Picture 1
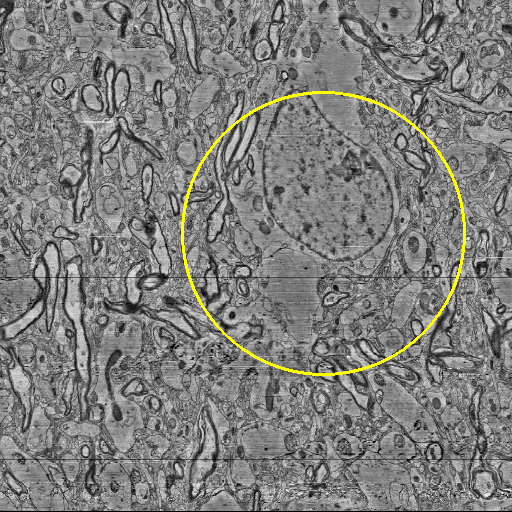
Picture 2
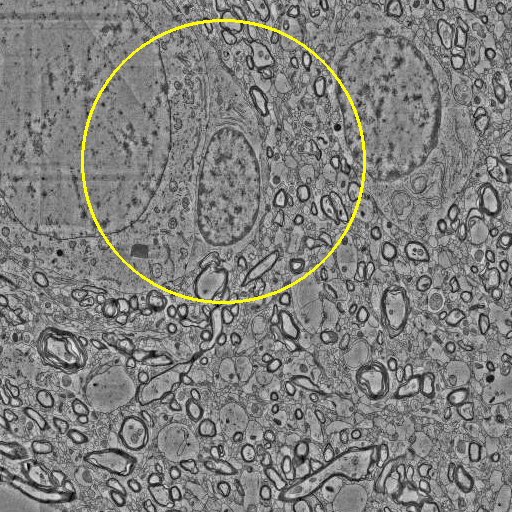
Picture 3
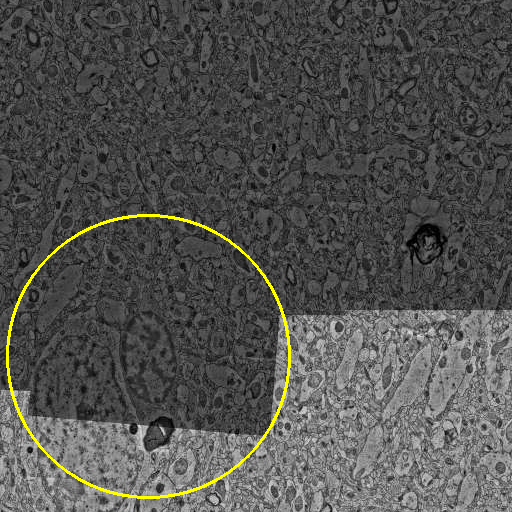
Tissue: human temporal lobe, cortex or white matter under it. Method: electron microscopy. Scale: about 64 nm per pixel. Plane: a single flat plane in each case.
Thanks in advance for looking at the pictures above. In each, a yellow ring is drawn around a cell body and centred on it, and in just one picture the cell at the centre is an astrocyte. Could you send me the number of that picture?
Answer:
1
